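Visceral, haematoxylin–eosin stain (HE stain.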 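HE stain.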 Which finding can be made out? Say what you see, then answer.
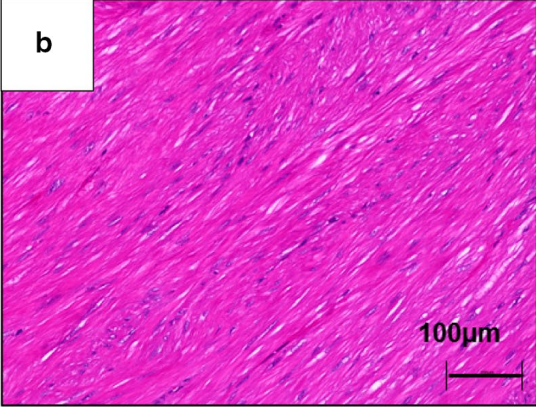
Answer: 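Leiomyoma. Long parallel bundles of bright pink spindle cells. Sparse, slender, bland elongated nuclei. No crowding of nuclei.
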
